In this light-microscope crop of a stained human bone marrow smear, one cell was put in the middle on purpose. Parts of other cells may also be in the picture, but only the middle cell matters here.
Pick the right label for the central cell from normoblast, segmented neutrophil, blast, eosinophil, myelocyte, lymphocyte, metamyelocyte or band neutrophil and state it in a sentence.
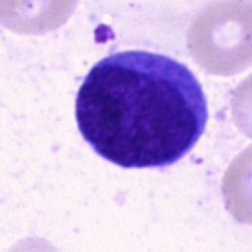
Looking at the middle of the crop, the cell there is a blast.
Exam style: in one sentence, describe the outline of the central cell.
The membrane contour is even and smooth, with nothing projecting from it.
